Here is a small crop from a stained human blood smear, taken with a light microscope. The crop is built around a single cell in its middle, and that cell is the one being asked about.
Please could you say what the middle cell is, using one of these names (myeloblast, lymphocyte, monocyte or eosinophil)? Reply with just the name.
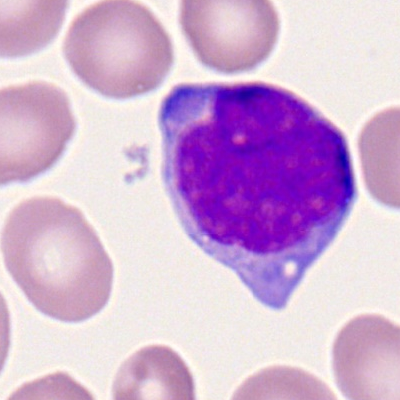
myeloblast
